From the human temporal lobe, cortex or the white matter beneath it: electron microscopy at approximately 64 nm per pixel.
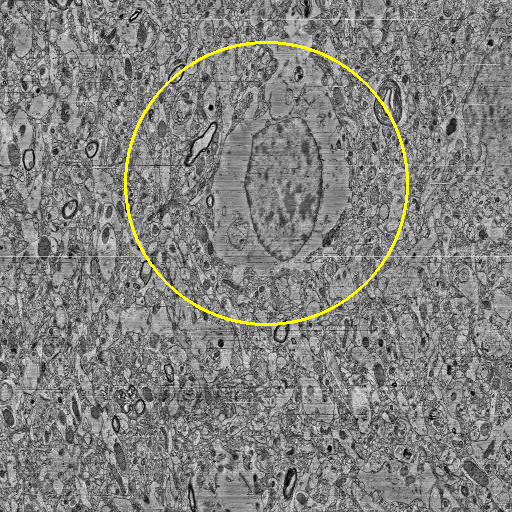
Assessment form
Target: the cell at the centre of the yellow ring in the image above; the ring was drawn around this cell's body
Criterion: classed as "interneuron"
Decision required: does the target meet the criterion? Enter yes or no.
no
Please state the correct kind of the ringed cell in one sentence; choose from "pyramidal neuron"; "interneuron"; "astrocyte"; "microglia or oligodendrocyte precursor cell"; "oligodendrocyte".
Instead, the ring in this picture marks an astrocyte.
